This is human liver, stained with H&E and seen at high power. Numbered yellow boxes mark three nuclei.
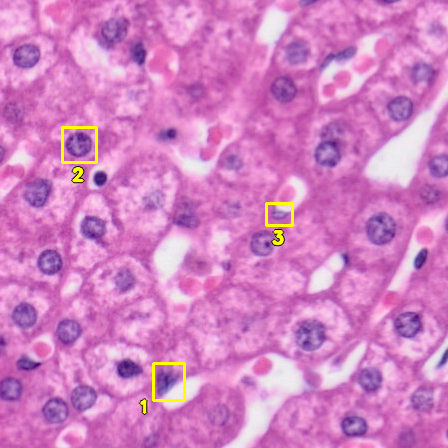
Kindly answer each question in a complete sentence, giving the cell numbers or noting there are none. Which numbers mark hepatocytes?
Among the numbered nuclei, only the one labelled 2 belongs to a hepatocyte.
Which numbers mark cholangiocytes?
Zero of the numbered cells are cholangiocytes.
